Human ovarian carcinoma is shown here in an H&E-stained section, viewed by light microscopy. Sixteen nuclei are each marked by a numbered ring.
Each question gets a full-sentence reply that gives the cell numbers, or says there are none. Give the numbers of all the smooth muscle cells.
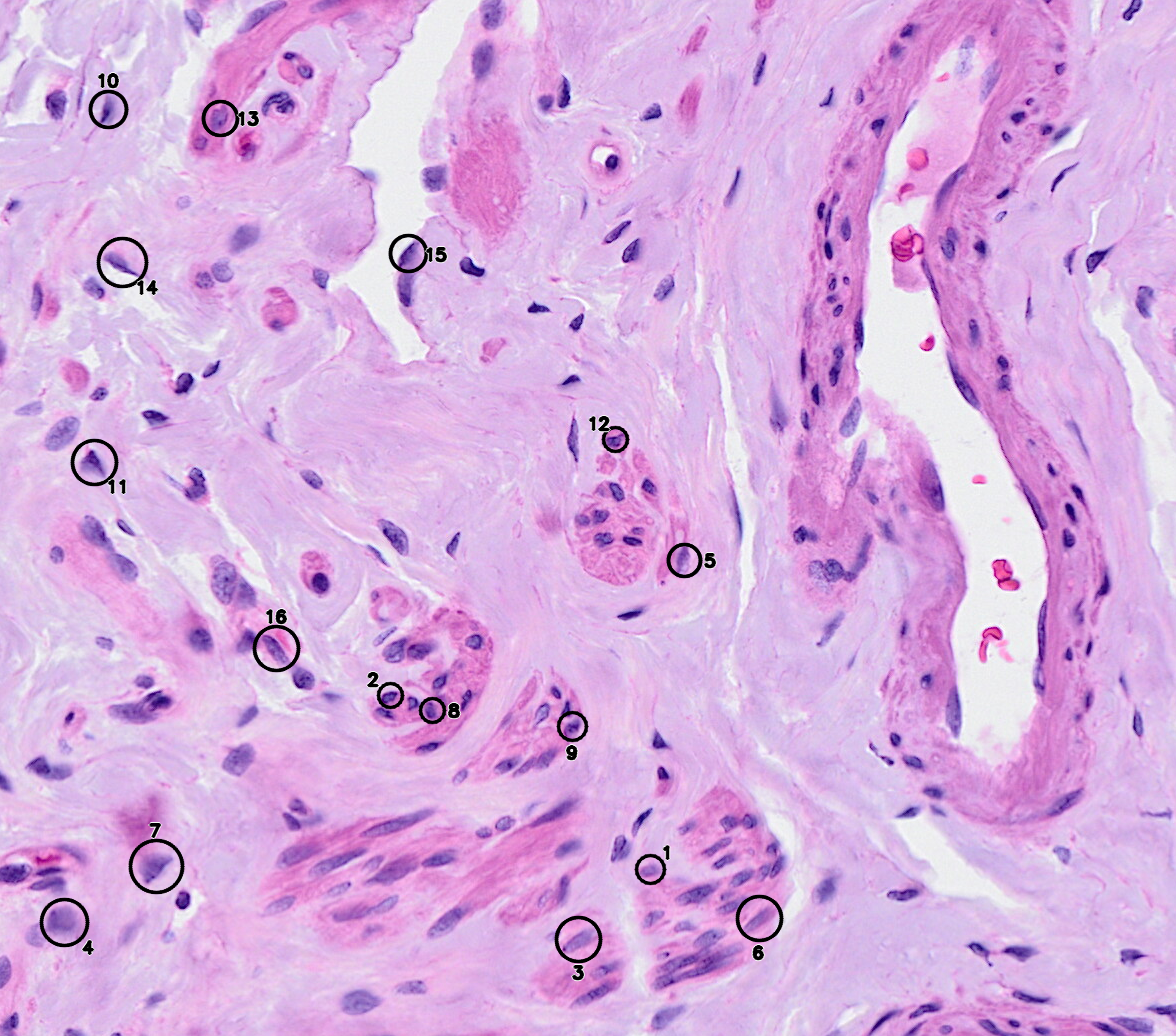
The cells that have numbers 1, 2, 3, 5, 6, 8, 9, 12 and 13 are smooth muscle cells.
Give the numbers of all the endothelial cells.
The cells numbered 15 and 16 are typed as endothelial cells.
